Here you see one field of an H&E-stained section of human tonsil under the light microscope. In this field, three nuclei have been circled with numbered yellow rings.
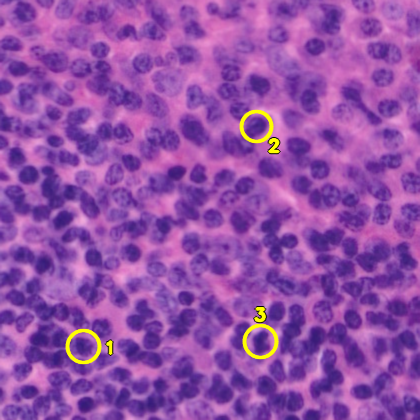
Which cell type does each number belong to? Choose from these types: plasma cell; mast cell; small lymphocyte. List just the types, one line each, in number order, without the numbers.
small lymphocyte
plasma cell
small lymphocyte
